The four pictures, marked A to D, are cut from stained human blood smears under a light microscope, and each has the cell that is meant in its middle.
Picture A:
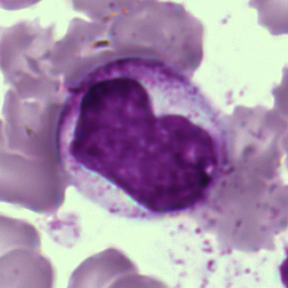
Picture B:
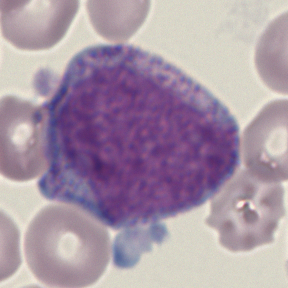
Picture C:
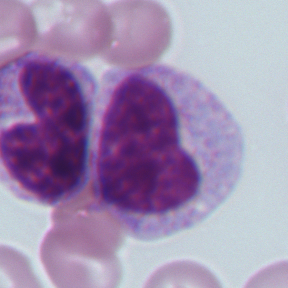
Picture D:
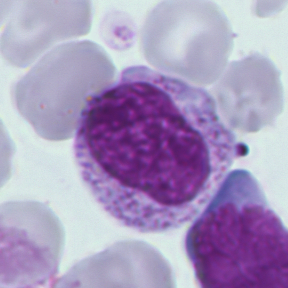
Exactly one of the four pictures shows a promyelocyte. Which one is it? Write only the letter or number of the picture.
B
